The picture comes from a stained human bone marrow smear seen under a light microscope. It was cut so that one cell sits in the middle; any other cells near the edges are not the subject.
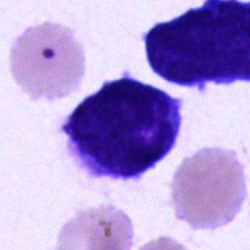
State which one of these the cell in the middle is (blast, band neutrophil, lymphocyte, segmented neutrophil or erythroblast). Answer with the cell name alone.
blast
